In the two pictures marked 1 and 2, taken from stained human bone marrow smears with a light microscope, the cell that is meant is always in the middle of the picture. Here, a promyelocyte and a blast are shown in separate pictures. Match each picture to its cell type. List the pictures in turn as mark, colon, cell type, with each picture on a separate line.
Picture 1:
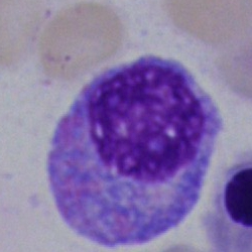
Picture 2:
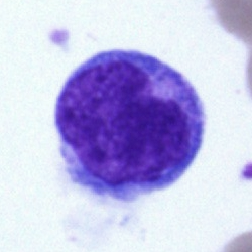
1: promyelocyte
2: blast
